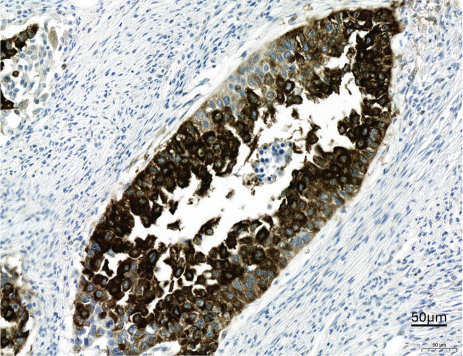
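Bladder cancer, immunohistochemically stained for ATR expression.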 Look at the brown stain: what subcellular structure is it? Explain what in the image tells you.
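Dense brown colour fills the bodies of the tumour cells in the nest. Many nuclei within the stained cells remain pale or bluish. Surrounding spindle-shaped stromal cells are unstained blue. The answer: cytoplasm.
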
